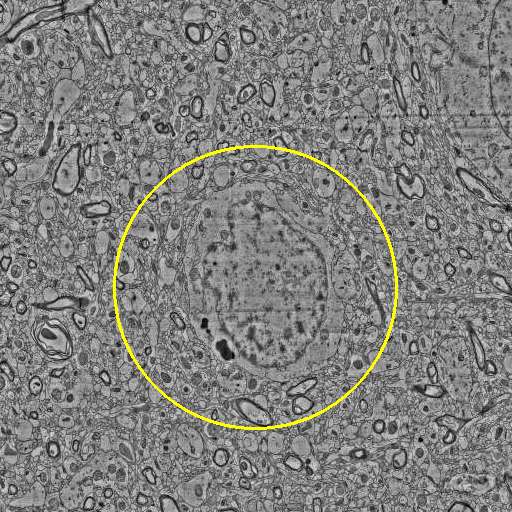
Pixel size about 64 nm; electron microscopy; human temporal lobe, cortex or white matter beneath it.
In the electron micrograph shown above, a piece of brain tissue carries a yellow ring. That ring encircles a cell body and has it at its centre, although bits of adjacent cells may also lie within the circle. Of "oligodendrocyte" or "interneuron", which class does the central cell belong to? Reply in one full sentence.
The cell body at the centre of the yellow ring belongs to an interneuron.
